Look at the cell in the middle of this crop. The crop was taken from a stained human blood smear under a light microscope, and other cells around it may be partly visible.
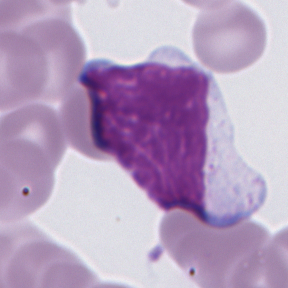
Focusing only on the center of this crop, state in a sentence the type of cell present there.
Looking at the middle of the crop, the cell there is a large granular lymphocyte.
